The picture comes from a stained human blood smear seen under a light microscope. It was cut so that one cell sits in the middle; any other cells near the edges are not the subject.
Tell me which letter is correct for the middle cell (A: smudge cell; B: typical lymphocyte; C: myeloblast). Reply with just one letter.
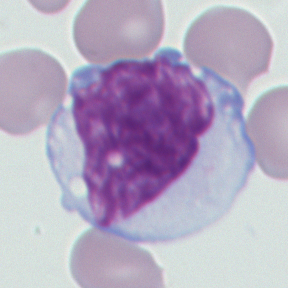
C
